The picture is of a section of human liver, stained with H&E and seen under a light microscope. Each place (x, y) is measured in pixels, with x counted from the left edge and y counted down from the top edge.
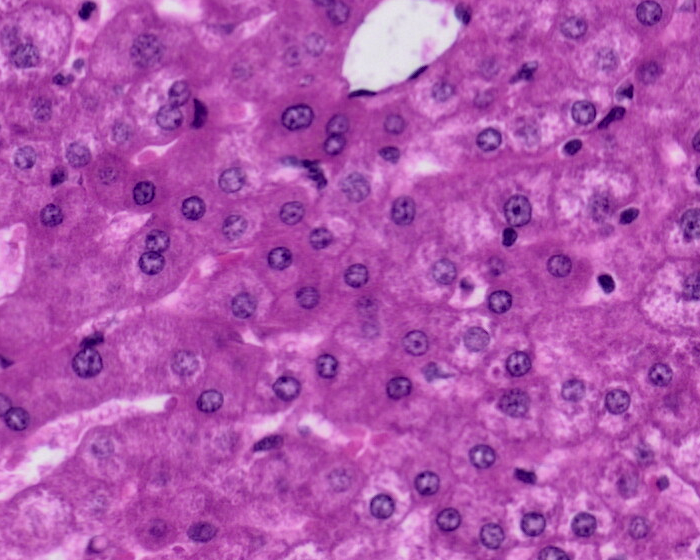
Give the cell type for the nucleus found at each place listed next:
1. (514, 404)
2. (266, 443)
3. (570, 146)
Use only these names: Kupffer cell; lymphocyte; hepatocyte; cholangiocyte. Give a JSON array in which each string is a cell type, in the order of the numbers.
["hepatocyte", "Kupffer cell", "lymphocyte"]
